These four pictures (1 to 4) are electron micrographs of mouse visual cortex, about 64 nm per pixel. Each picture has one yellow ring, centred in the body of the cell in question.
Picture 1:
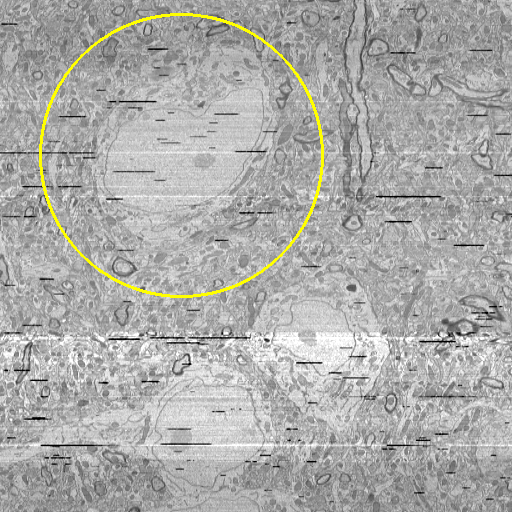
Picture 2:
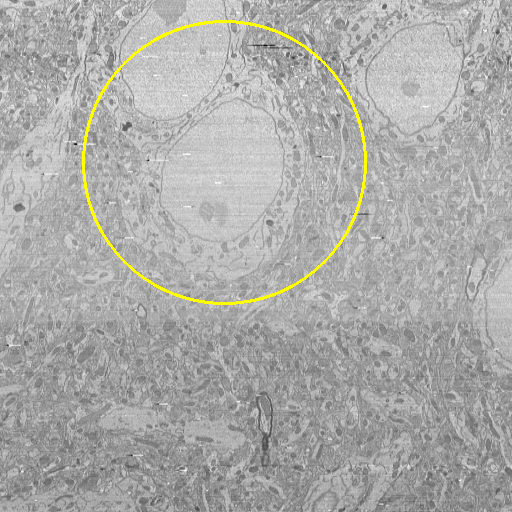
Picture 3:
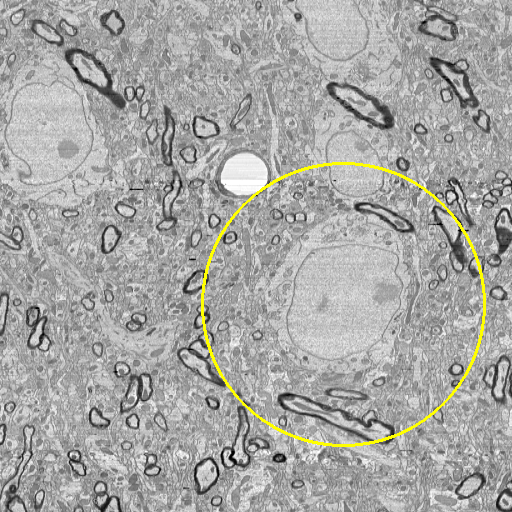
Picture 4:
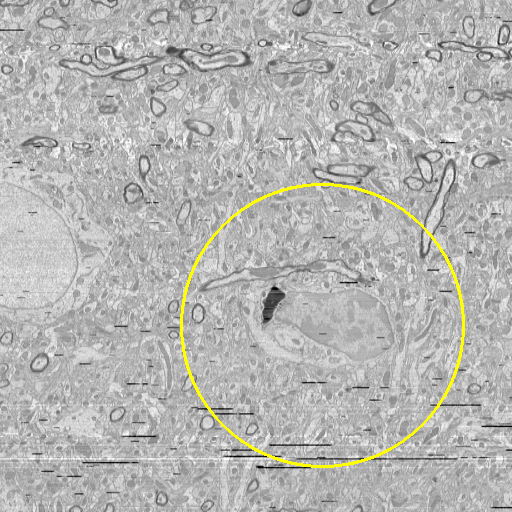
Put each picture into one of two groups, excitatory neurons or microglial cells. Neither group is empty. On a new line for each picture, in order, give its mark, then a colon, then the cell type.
1: excitatory neuron
2: excitatory neuron
3: excitatory neuron
4: microglial cell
